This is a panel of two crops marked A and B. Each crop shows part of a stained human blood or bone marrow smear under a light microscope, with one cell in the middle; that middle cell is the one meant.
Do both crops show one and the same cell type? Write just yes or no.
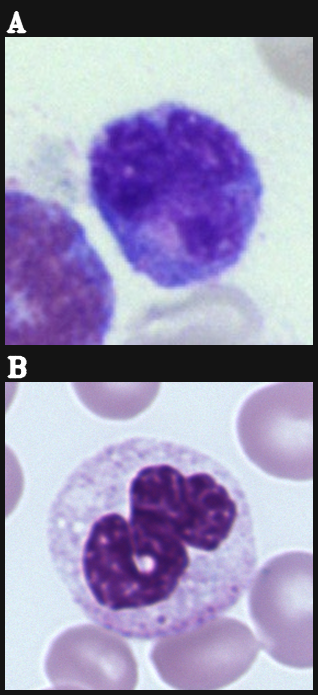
no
